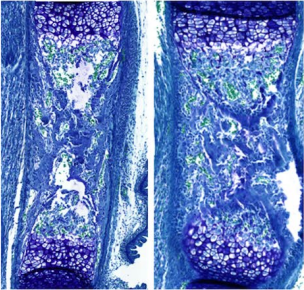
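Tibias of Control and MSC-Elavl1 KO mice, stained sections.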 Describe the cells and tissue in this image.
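These are longitudinal sections of two developing long bones, side by side, each with cartilage at both ends and a central region between them. The cartilage ends are stained deep blue-purple and hold rounded, enlarged chondrocytes with pale lacunae. Toward the middle of each bone the cartilage gives way to a looser zone with open spaces and strands of tissue. Small green flecks are scattered through this central zone. Denser tissue runs along the outer edges of the shaft.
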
